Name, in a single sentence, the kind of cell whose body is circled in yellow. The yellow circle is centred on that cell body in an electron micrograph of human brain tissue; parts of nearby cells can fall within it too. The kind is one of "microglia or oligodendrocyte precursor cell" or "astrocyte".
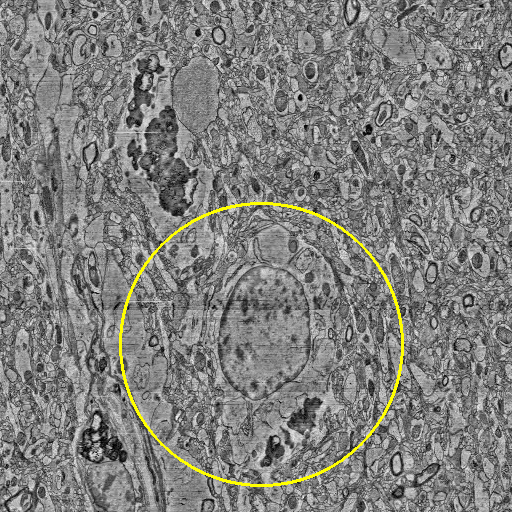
The circled cell body belongs to an astrocyte.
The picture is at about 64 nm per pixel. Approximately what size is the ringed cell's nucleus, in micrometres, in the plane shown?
About 9 by 6 micrometers; the nucleus is clearly longer than it is wide in this plane.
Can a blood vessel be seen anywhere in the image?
Yes, one is visible.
